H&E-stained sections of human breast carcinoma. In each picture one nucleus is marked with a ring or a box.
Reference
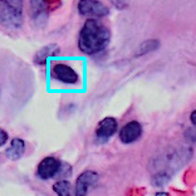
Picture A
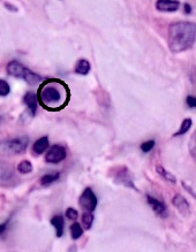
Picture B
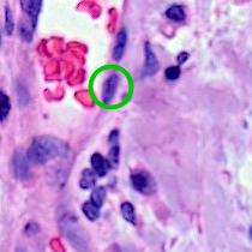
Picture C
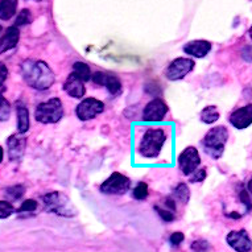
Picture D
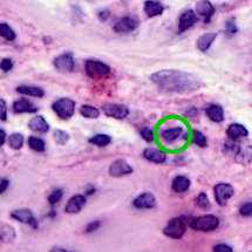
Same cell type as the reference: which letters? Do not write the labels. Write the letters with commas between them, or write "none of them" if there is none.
A, C, D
